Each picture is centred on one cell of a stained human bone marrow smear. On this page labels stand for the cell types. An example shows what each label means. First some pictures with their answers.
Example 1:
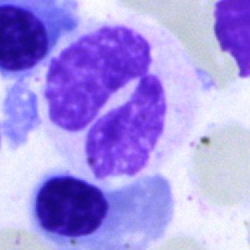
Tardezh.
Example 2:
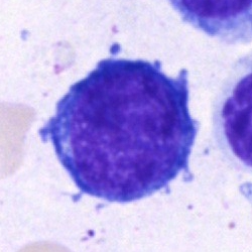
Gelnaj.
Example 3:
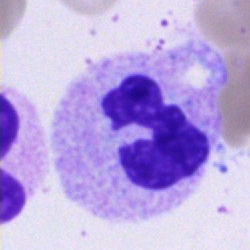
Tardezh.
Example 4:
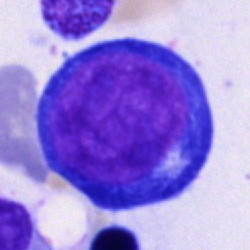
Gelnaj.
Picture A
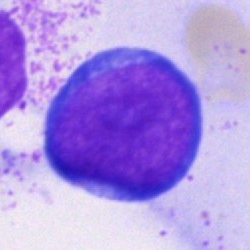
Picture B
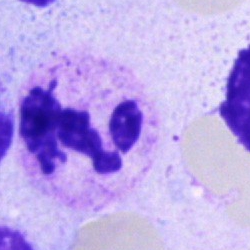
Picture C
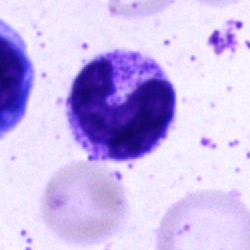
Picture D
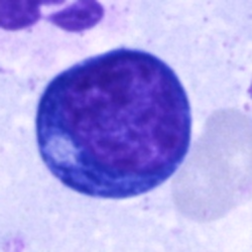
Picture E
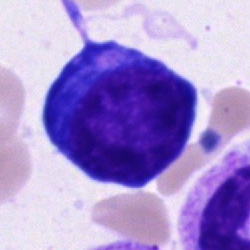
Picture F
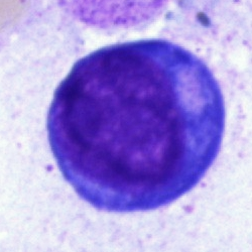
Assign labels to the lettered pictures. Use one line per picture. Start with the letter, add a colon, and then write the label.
A: Gelnaj.
B: Tardezh.
C: Tardezh.
D: Gelnaj.
E: Gelnaj.
F: Gelnaj.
